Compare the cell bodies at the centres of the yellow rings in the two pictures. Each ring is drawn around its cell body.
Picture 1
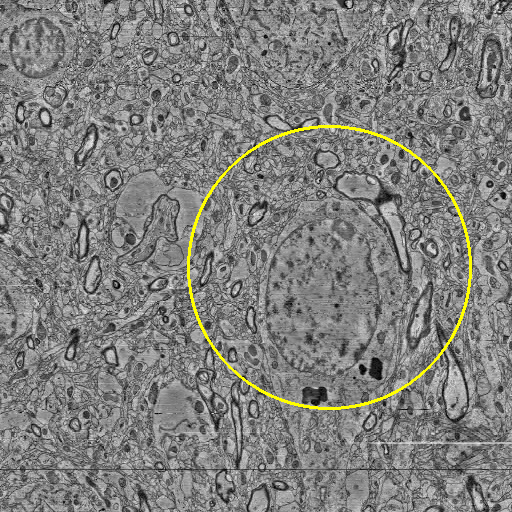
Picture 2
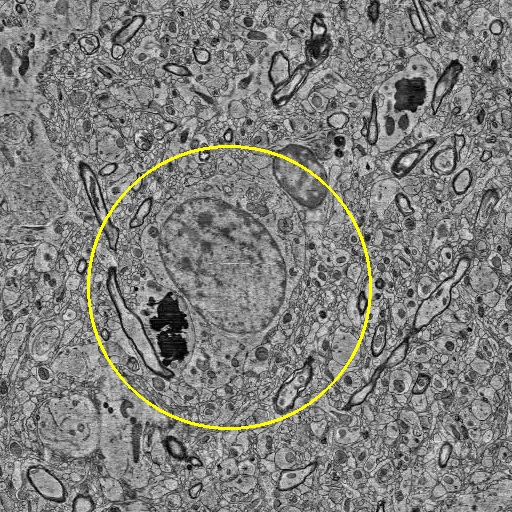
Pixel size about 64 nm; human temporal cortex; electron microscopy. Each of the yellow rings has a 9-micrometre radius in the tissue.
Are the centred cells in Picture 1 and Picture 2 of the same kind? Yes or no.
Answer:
yes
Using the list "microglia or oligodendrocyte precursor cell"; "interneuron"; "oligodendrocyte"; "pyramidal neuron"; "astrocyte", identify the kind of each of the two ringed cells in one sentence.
In each picture the ringed cell is an interneuron.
